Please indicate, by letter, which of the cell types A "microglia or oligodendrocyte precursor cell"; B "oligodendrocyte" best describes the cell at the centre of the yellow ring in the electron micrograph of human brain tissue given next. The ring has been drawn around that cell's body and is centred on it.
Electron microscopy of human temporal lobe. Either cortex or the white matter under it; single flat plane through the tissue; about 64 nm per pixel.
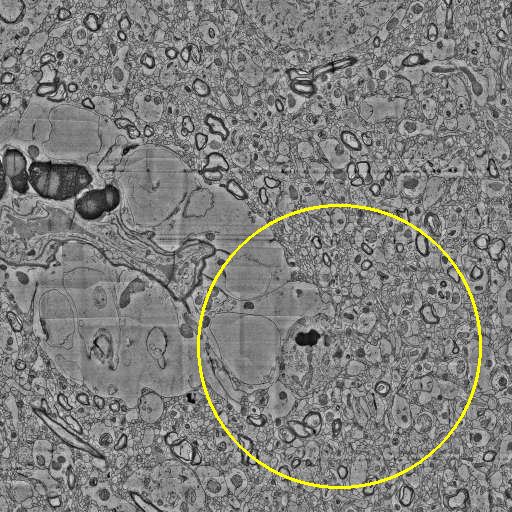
B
